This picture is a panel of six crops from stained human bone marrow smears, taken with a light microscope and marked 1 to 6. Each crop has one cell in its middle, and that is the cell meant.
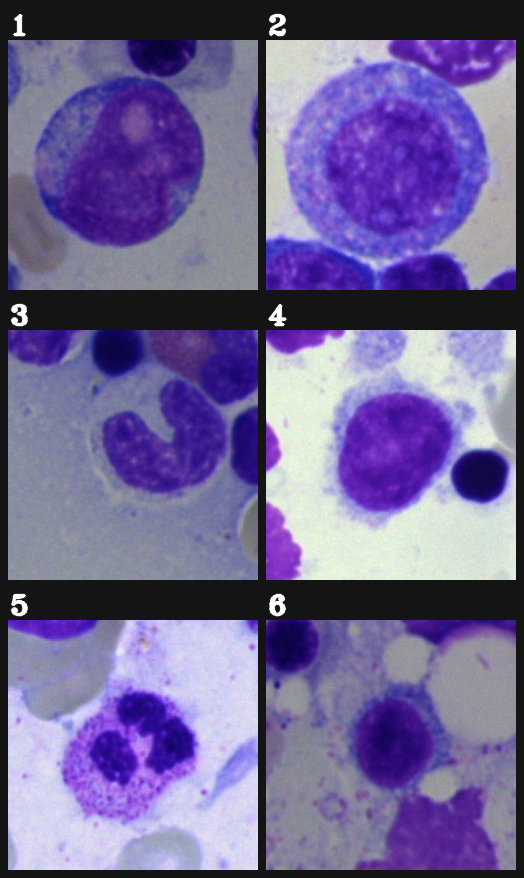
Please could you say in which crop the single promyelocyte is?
2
